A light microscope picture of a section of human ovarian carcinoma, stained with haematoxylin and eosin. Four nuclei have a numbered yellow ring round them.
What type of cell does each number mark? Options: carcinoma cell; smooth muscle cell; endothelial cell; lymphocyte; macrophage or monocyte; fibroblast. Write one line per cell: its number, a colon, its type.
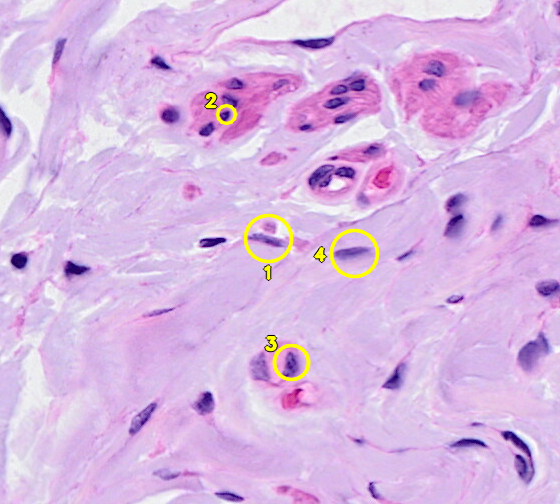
1: fibroblast
2: smooth muscle cell
3: endothelial cell
4: fibroblast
